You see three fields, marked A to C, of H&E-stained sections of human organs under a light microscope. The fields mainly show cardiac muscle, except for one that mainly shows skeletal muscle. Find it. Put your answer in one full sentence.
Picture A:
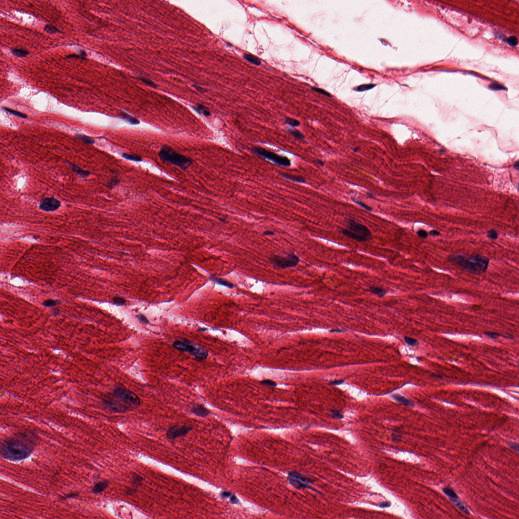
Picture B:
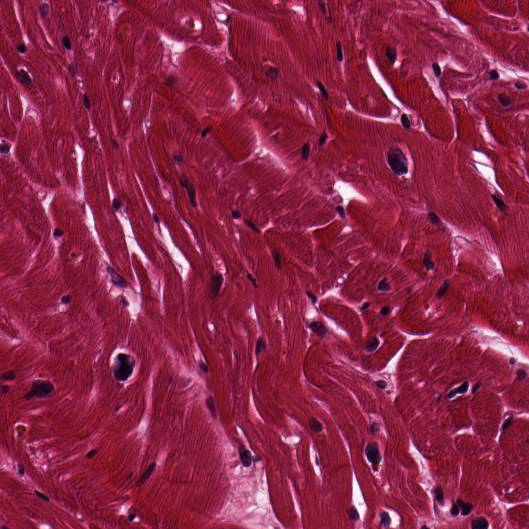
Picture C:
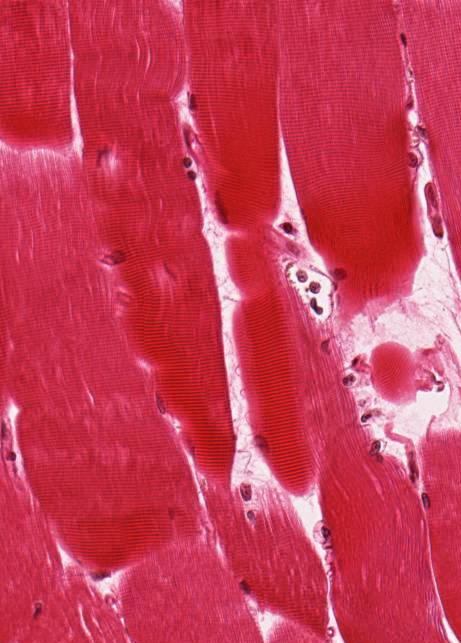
Picture C is the field that mainly shows skeletal muscle.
